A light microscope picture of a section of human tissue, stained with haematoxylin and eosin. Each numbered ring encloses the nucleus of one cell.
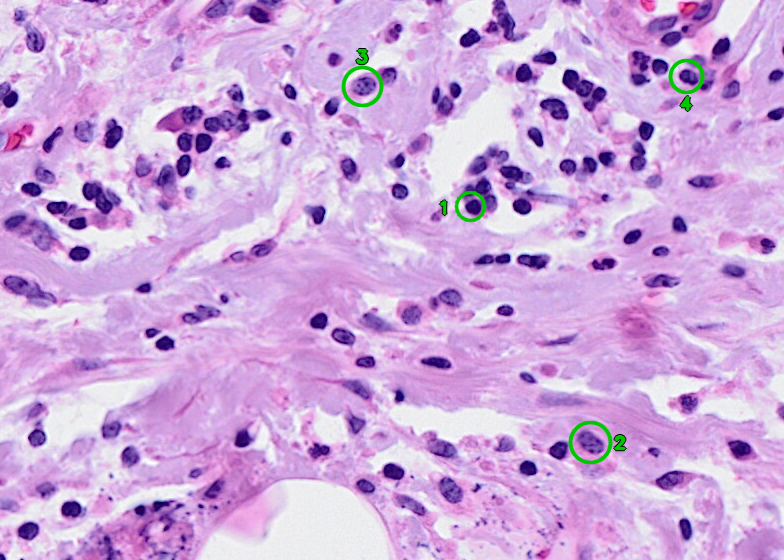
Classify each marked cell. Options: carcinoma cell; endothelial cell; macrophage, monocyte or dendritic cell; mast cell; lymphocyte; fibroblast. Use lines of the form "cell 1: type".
cell 1: lymphocyte
cell 2: mast cell
cell 3: mast cell
cell 4: lymphocyte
